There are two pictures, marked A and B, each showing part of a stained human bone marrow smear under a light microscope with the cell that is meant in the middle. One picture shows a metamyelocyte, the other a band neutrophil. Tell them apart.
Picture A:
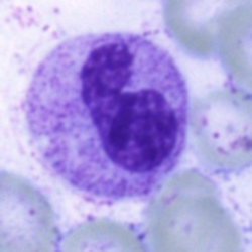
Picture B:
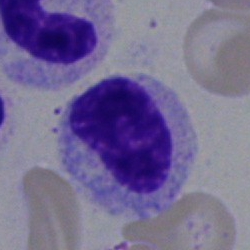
A: band neutrophil
B: metamyelocyte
